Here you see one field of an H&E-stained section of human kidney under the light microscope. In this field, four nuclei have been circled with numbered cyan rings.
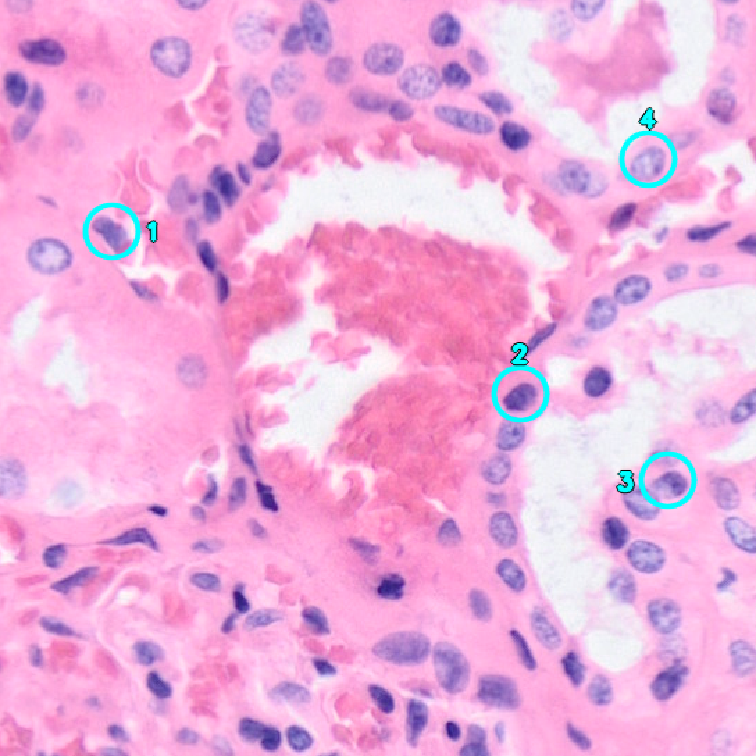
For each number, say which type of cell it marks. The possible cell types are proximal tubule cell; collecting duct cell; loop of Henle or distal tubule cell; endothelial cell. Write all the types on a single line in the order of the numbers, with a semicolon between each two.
endothelial cell; collecting duct cell; collecting duct cell; collecting duct cell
